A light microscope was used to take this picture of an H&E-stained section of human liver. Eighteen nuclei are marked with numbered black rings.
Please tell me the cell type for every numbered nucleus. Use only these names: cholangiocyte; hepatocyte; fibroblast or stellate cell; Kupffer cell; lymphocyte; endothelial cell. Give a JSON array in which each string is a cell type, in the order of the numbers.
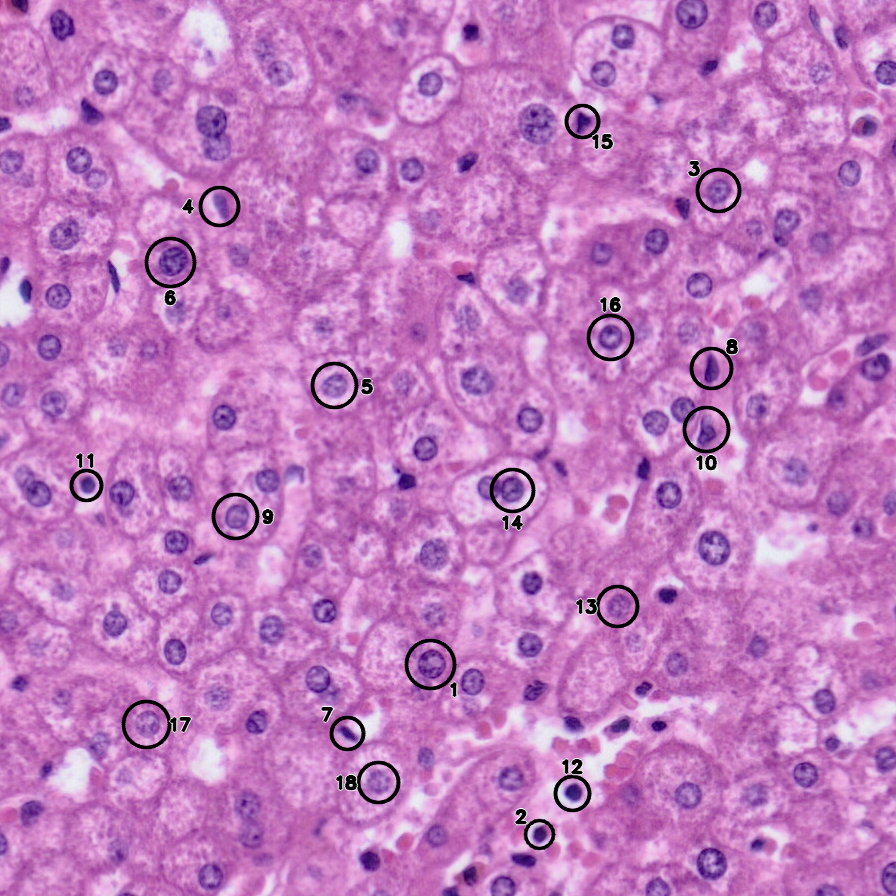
["hepatocyte", "lymphocyte", "hepatocyte", "endothelial cell", "hepatocyte", "hepatocyte", "endothelial cell", "fibroblast or stellate cell", "hepatocyte", "Kupffer cell", "lymphocyte", "lymphocyte", "hepatocyte", "hepatocyte", "fibroblast or stellate cell", "hepatocyte", "hepatocyte", "hepatocyte"]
